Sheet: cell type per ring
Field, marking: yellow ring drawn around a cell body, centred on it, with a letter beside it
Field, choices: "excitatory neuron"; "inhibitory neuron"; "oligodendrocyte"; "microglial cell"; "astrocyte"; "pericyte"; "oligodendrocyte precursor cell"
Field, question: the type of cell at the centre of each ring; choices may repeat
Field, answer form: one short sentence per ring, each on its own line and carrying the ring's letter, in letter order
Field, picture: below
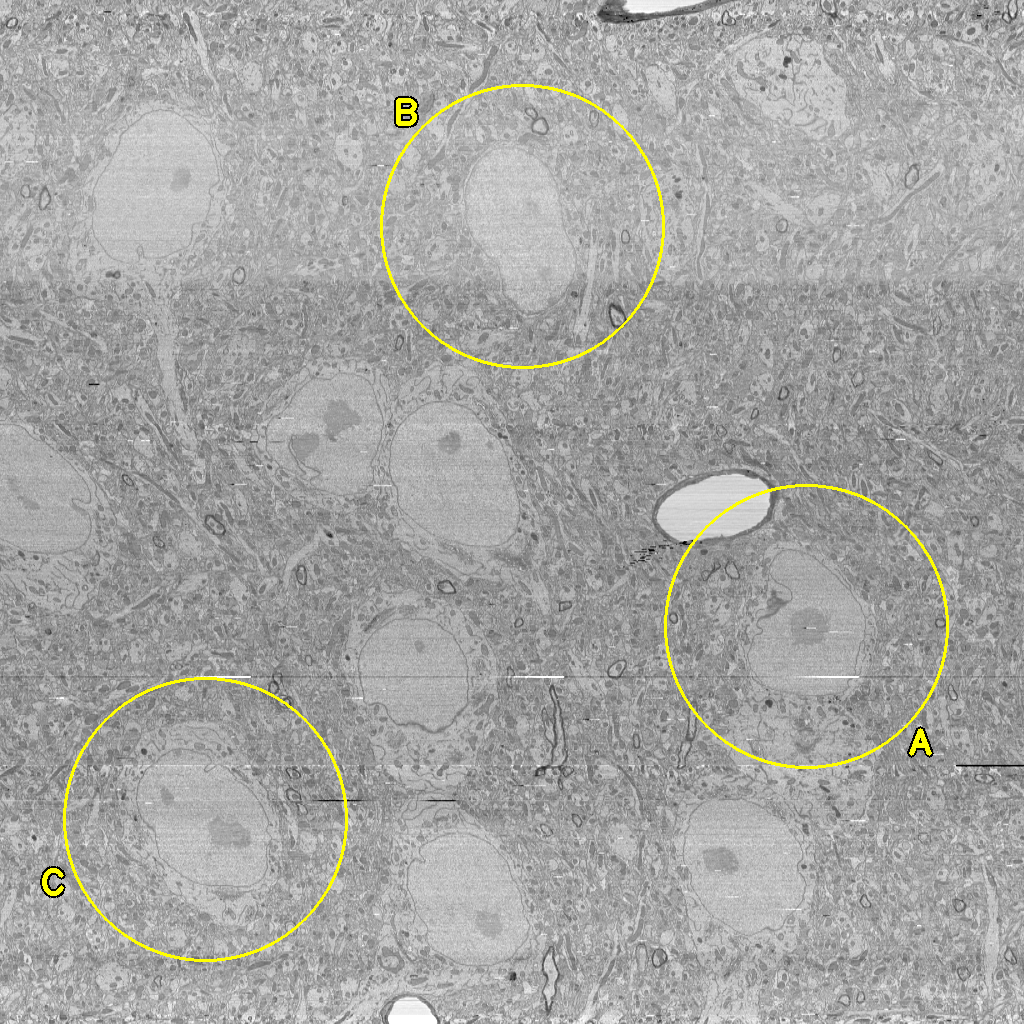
The cell body inside ring A, at its centre, is an inhibitory neuron.
The cell body inside ring B, at its centre, is an astrocyte.
The cell body inside ring C, at its centre, is an excitatory neuron.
